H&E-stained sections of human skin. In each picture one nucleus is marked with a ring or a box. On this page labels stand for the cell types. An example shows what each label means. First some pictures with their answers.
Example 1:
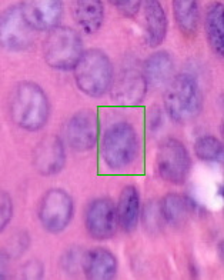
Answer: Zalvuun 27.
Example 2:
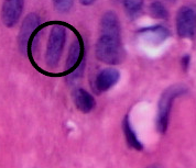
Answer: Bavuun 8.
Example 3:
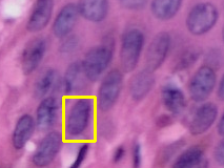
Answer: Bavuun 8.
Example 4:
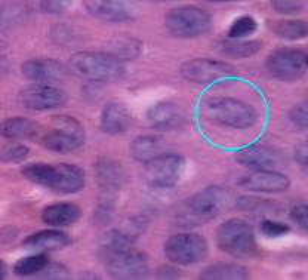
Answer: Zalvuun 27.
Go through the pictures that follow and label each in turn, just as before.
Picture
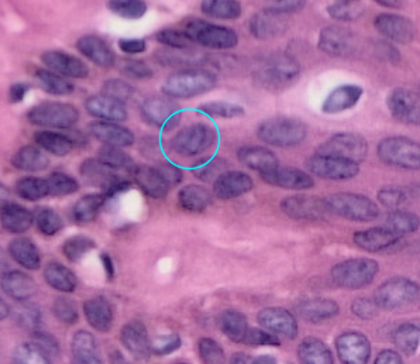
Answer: Bavuun 8.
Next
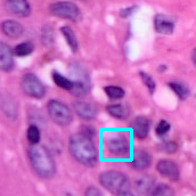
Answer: Bavuun 8.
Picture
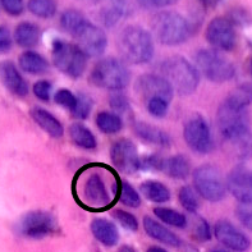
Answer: Bavuun 8.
